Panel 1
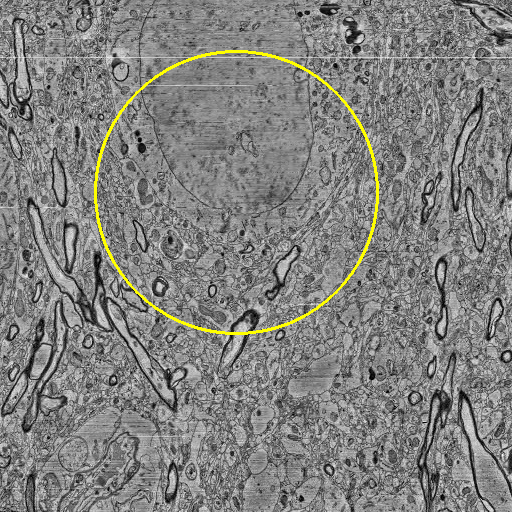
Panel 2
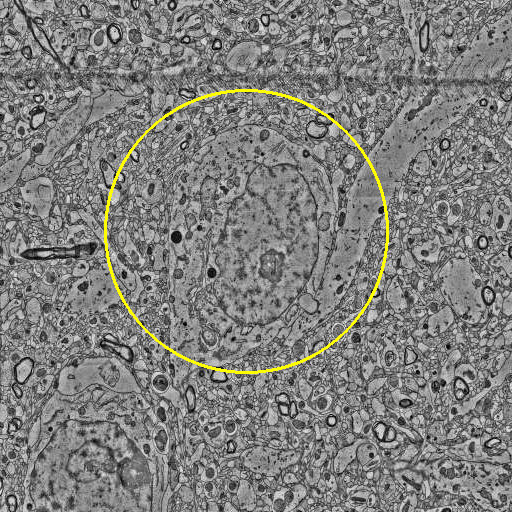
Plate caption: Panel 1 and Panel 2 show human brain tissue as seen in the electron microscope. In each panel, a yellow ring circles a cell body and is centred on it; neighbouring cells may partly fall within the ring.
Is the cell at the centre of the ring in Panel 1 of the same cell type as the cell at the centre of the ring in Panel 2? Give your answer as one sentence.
No, the two cells are of two types.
